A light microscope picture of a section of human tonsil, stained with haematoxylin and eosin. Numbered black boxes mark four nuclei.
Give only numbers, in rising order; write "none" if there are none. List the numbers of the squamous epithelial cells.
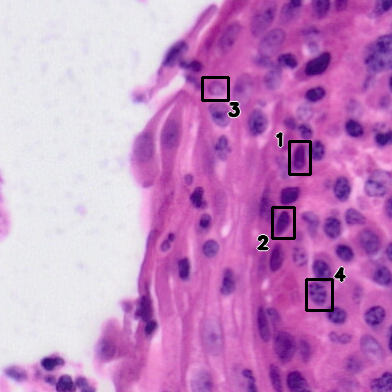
1, 2, 3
